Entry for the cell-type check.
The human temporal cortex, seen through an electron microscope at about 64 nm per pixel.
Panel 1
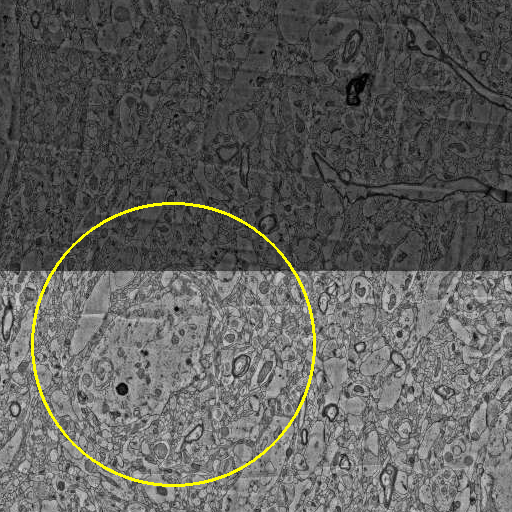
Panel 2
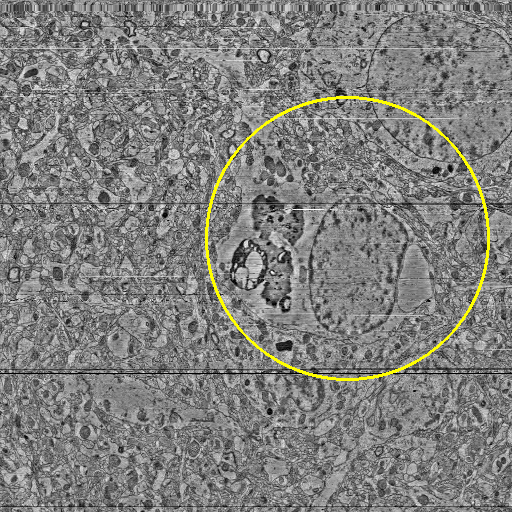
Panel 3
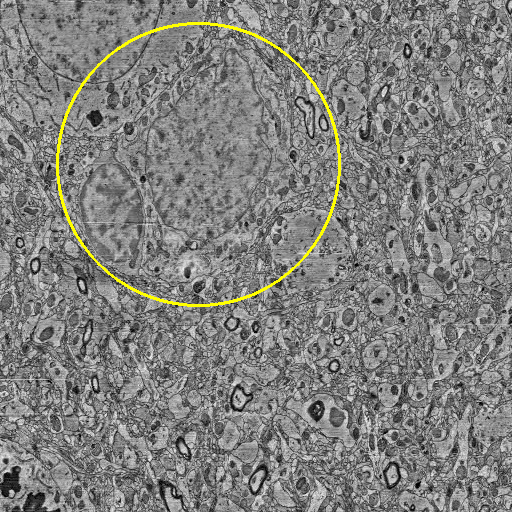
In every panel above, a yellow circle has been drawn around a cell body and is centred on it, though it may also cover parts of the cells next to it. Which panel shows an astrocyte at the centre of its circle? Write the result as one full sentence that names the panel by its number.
Panel 2 shows it at the centre of its circle.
